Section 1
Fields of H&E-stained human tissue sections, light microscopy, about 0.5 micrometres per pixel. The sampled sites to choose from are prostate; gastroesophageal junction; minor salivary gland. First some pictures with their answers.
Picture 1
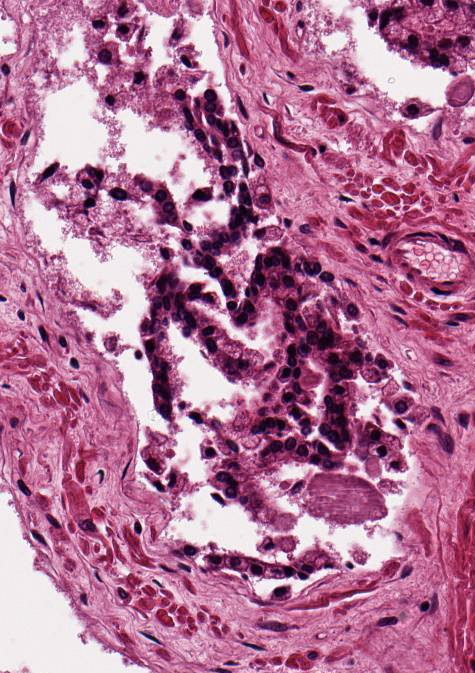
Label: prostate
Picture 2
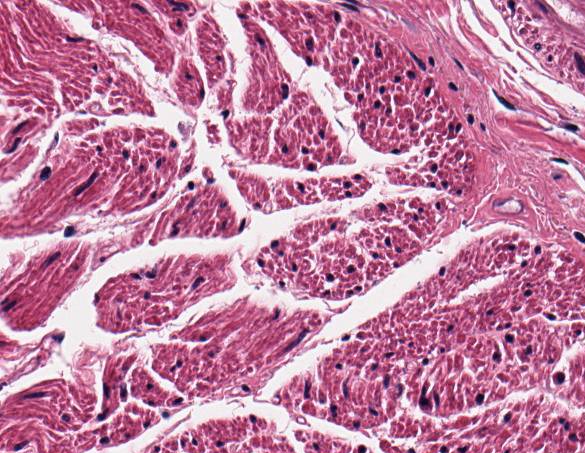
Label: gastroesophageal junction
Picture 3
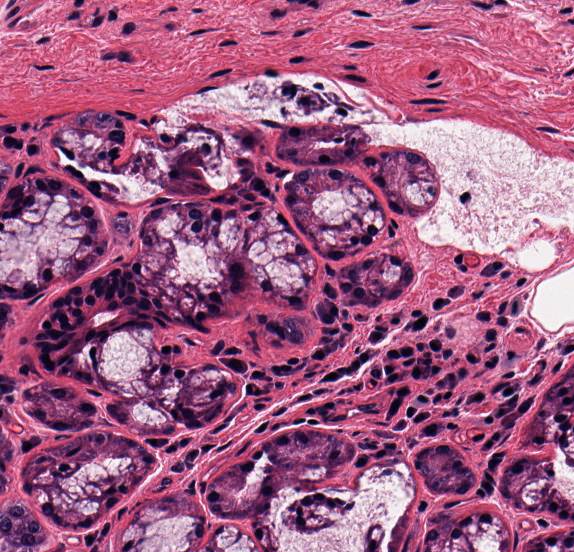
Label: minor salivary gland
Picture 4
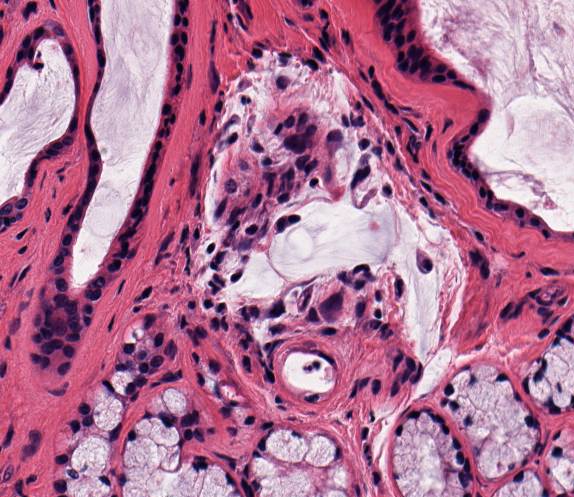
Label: minor salivary gland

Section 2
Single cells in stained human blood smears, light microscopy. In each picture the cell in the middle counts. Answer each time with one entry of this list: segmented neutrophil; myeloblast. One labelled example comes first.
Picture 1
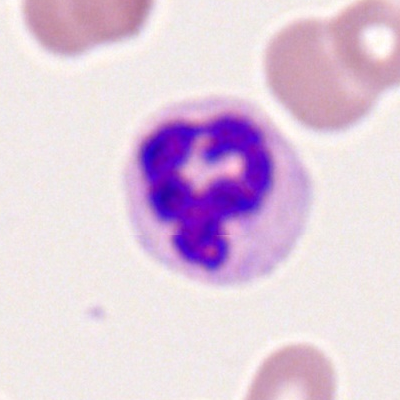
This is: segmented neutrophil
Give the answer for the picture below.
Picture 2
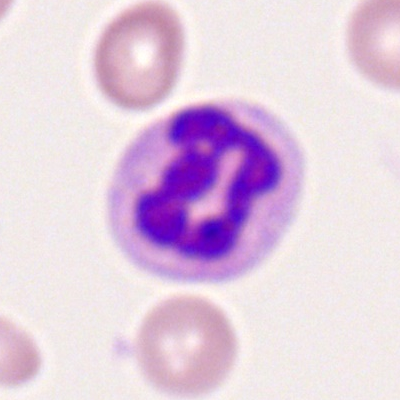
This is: segmented neutrophil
